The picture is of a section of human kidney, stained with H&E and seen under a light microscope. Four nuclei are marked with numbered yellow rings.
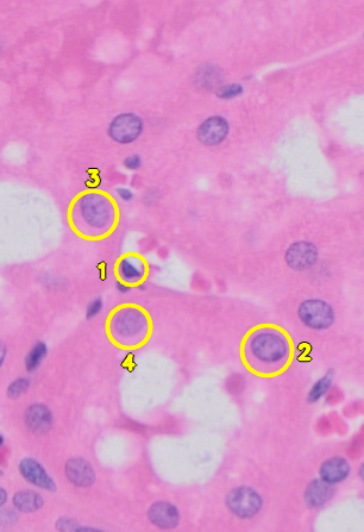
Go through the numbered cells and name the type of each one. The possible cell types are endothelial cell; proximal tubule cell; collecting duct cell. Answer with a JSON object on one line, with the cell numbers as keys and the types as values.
{"1": "endothelial cell", "2": "proximal tubule cell", "3": "proximal tubule cell", "4": "proximal tubule cell"}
